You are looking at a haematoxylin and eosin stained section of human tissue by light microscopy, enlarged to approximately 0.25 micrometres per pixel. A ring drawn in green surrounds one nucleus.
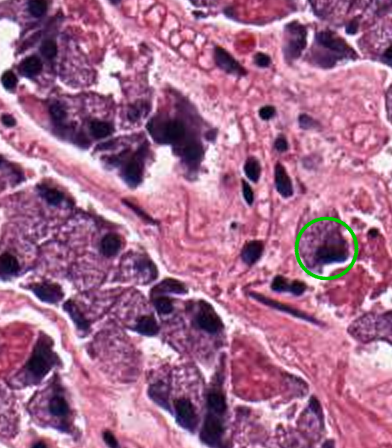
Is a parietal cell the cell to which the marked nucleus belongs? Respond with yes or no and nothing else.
no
